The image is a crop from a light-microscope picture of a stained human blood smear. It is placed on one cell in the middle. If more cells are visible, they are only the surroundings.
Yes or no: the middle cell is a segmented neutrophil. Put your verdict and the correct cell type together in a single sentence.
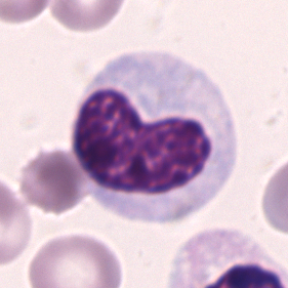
No, it is a band neutrophil rather than a segmented neutrophil that the middle of the crop contains.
